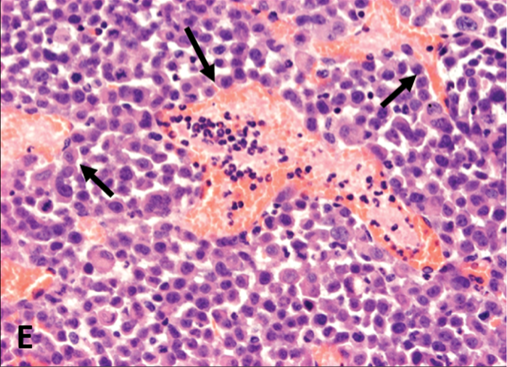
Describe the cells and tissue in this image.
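This is densely cellular tumor tissue traversed by irregular, branching channels. The tumor cells are crowded, with round dark-purple nuclei and little cytoplasm, and they form the walls of the channels directly. The channels contain pink proteinaceous material and red blood cells.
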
